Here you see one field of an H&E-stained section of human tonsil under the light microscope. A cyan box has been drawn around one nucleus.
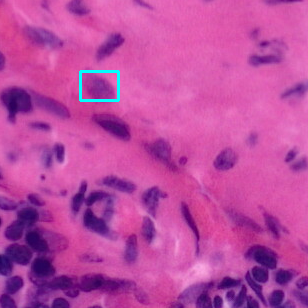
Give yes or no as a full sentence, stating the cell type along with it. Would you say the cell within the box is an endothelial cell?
Yes, when classified by type, the cell within the box is an endothelial cell.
